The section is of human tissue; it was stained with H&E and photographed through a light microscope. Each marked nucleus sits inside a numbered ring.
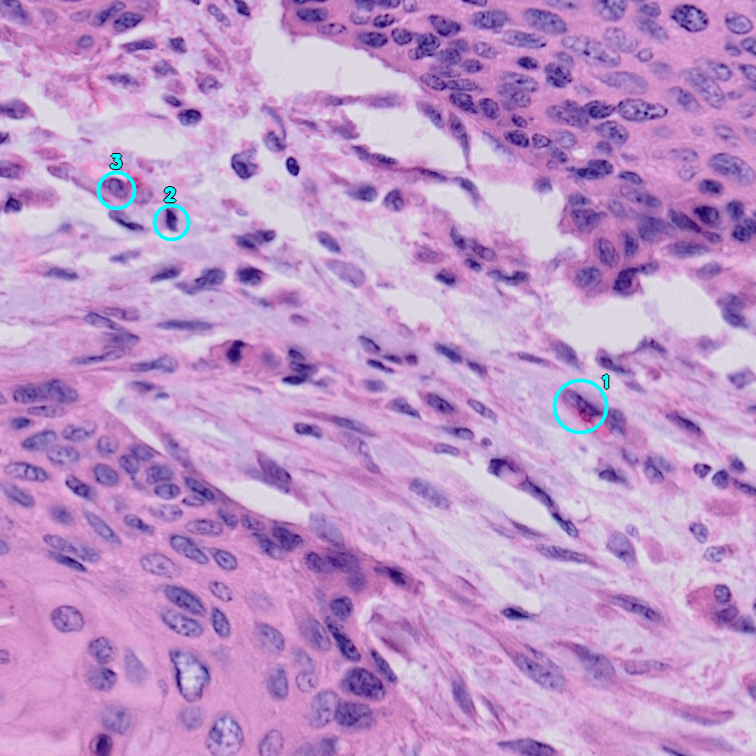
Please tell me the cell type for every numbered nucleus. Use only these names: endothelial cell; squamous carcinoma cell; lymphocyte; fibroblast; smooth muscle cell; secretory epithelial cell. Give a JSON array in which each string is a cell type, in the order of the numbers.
["endothelial cell", "lymphocyte", "endothelial cell"]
